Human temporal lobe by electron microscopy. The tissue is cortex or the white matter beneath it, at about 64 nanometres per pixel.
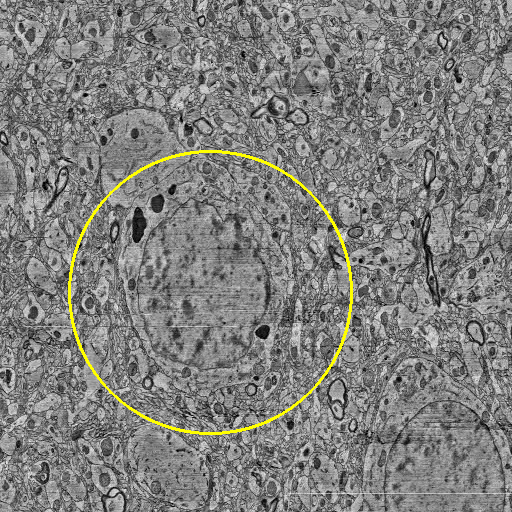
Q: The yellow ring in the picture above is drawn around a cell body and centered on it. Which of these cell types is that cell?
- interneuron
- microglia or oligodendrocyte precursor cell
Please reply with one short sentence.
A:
The cell body at the ring's center belongs to an interneuron.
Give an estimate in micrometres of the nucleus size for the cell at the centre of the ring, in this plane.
In this plane, the nucleus of the cell at the centre of the ring measures about 11 by 9 micrometres.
